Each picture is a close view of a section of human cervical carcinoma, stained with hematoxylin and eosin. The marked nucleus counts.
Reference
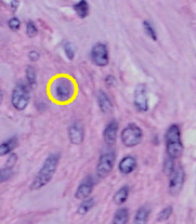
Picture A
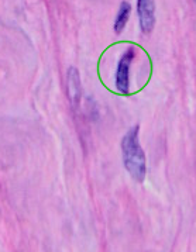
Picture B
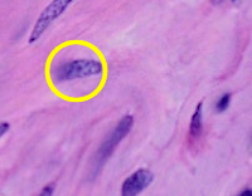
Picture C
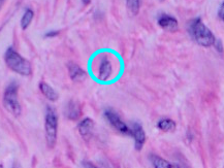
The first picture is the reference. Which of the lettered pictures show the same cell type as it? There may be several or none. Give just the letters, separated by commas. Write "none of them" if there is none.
C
